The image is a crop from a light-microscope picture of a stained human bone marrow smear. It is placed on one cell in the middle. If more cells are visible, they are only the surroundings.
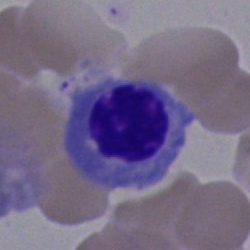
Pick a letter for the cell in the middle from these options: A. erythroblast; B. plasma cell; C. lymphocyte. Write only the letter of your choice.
A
